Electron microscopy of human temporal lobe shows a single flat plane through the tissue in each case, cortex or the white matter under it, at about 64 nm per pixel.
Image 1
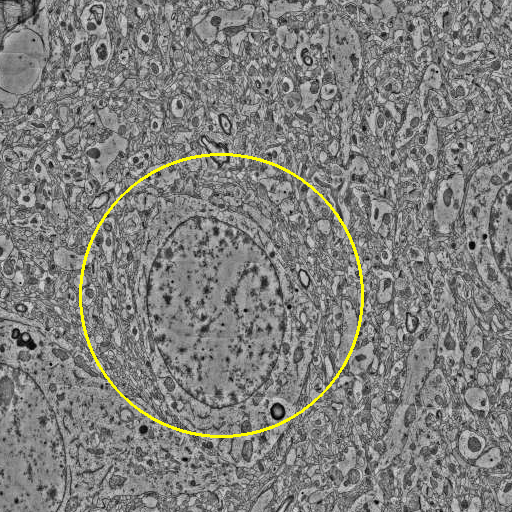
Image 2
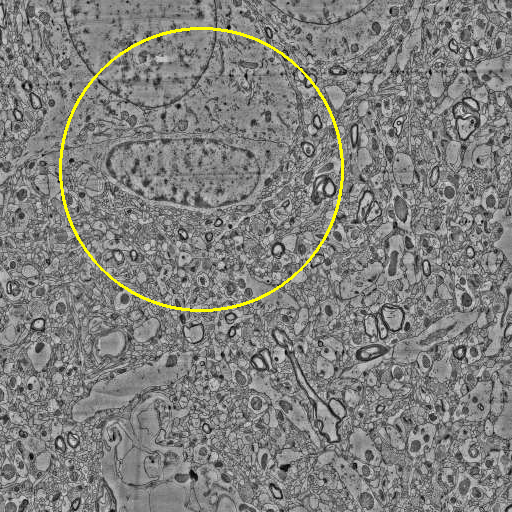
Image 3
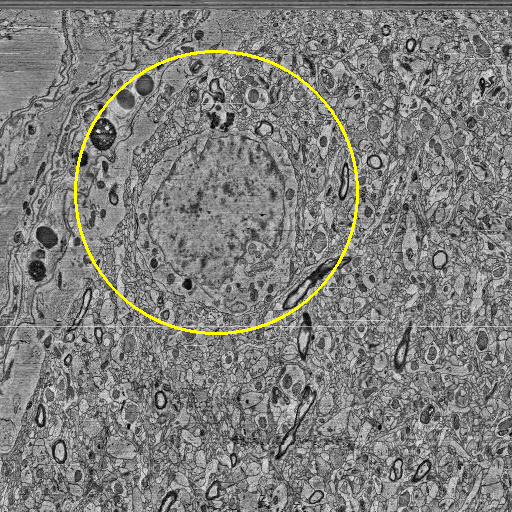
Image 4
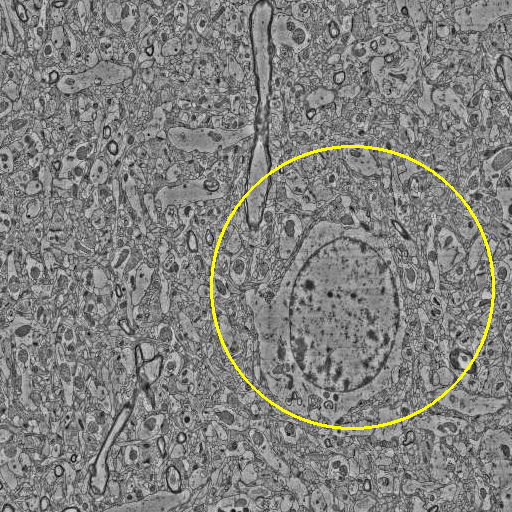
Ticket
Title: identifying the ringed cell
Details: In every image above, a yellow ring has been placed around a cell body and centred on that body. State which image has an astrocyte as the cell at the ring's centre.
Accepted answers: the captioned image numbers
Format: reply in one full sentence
The ring in image 4 is centred on the cell in question.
